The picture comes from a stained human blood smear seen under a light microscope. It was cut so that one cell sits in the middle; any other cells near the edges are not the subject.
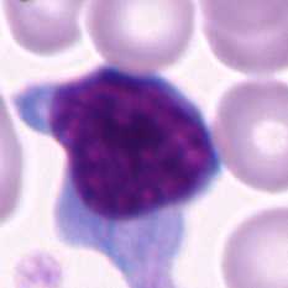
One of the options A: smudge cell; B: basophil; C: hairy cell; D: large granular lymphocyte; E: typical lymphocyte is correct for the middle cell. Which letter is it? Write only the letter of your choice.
E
